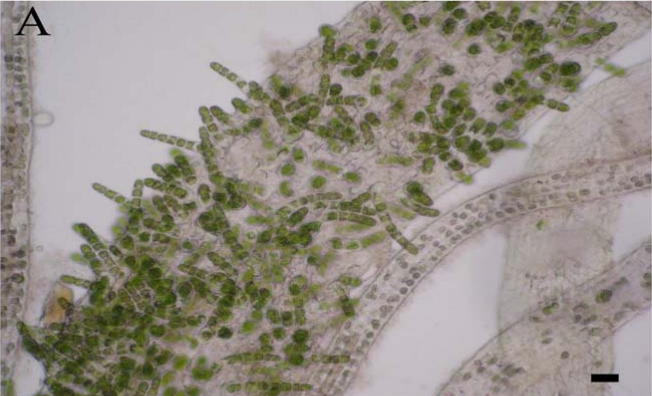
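A broad pale tubular thallus runs diagonally, crowded with dark green rounded cells and short chains of green cells. Many chains project out beyond the edge of the tube into the surrounding clear space at the left. Other pale tubes, one thin and one wide, cross the field; their walls carry a single layer of small, faintly pigmented cells in rows. A small brownish particle lies at the lower left. The green cells vary from single spheres to filaments of several cells.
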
